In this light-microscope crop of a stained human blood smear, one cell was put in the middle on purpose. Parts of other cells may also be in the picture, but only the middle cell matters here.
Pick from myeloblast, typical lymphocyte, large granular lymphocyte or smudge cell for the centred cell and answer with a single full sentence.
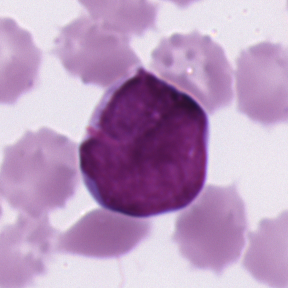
Classified as a myeloblast is the cell in the middle of this crop.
